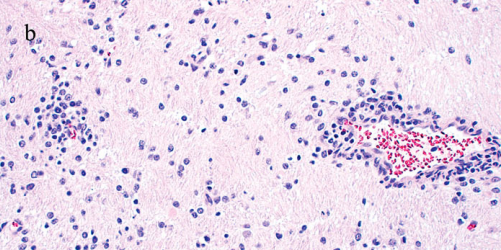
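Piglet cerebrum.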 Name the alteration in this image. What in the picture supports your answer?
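Lymphocytic perivascular cuffing. A vessel containing red blood cells is ringed by several layers of small round dark nuclei. A second cluster of small round cells lies to the left.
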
